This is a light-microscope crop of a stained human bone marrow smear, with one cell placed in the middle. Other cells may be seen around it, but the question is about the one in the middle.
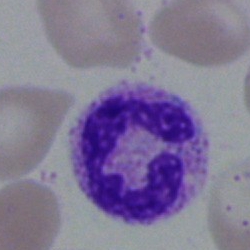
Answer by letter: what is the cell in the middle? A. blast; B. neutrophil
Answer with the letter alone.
B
